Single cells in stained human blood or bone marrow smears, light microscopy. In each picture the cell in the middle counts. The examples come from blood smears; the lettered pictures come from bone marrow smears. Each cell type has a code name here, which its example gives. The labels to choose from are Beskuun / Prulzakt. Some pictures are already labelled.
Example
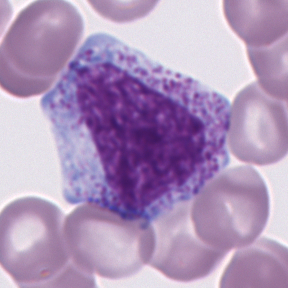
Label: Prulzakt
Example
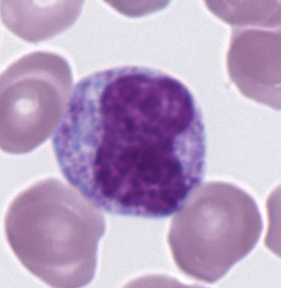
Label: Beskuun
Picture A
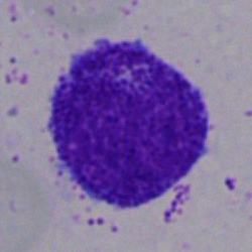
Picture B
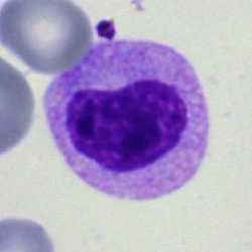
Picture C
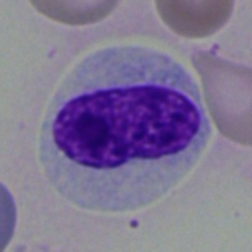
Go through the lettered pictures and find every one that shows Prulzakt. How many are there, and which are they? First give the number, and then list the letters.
Count: 1 (A)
